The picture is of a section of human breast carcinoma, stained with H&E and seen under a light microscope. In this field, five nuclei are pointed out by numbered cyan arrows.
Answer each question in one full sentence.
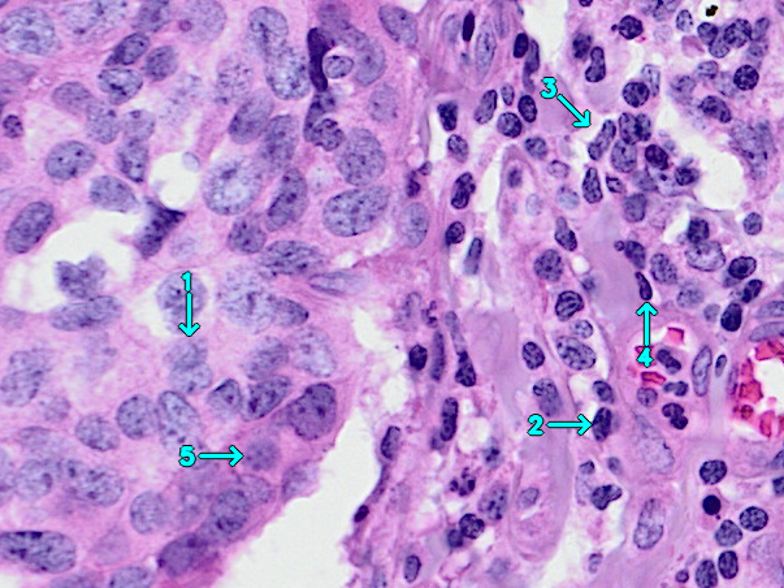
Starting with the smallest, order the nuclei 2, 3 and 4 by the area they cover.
From smallest to largest, the order is 4, 2, 3.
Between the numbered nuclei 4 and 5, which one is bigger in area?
Nucleus 5 is larger, with an area about 2.5 times that of nucleus 4.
